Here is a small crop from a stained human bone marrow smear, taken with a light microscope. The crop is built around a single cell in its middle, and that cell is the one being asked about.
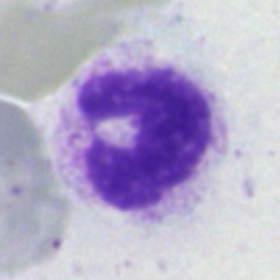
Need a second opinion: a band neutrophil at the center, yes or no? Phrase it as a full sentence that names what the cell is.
No, the cell in the middle of the field is a segmented neutrophil, not a band neutrophil as suggested.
